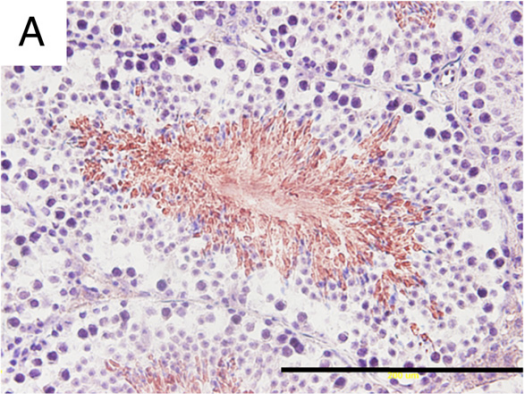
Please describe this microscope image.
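A section of testis, with many round germ cells having dark purple nuclei packed in layers around a central lumen. Toward the lumen, a radiating mass of elongated, slender heads and tails is stained red-brown, while the round cells further out remain blue-purple.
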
